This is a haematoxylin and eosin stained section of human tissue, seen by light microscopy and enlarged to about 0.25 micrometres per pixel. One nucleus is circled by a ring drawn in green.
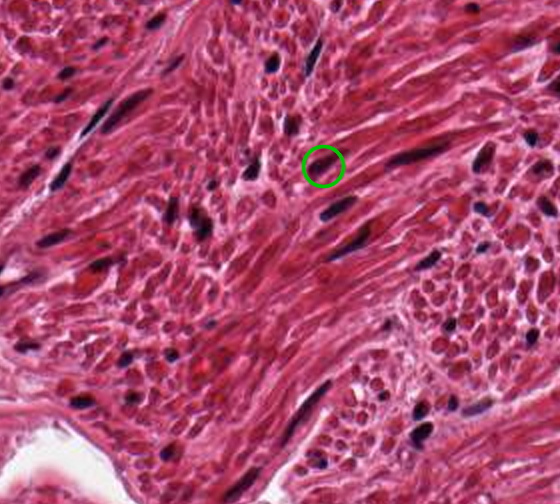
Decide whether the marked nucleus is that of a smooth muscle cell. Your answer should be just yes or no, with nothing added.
yes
